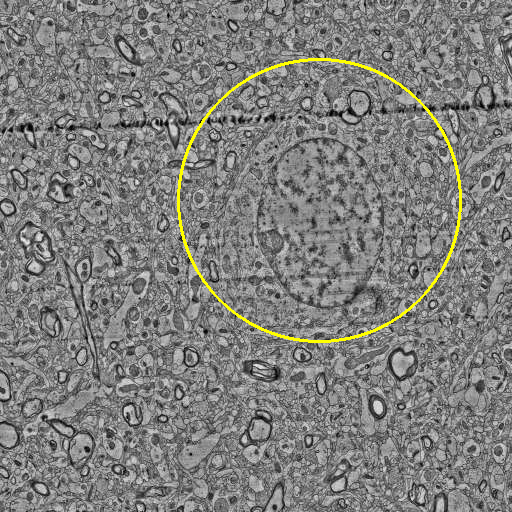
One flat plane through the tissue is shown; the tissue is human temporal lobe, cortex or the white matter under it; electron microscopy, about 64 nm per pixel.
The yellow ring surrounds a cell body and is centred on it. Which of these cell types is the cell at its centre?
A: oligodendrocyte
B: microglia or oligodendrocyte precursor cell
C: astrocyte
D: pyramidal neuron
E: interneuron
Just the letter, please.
E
